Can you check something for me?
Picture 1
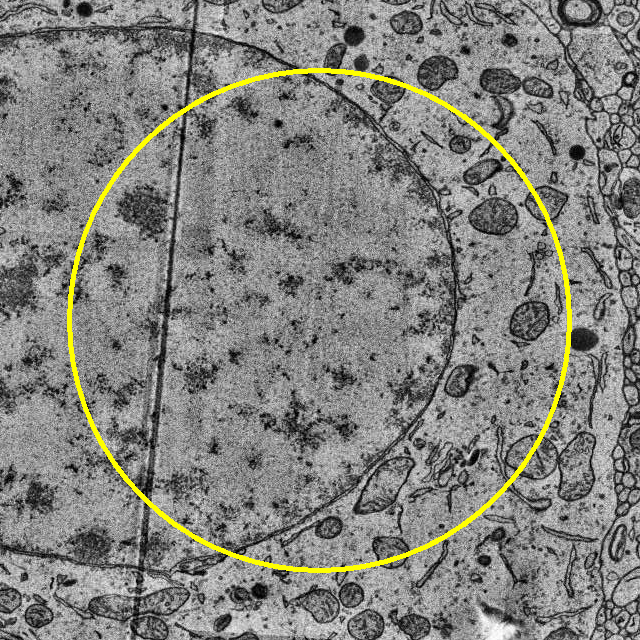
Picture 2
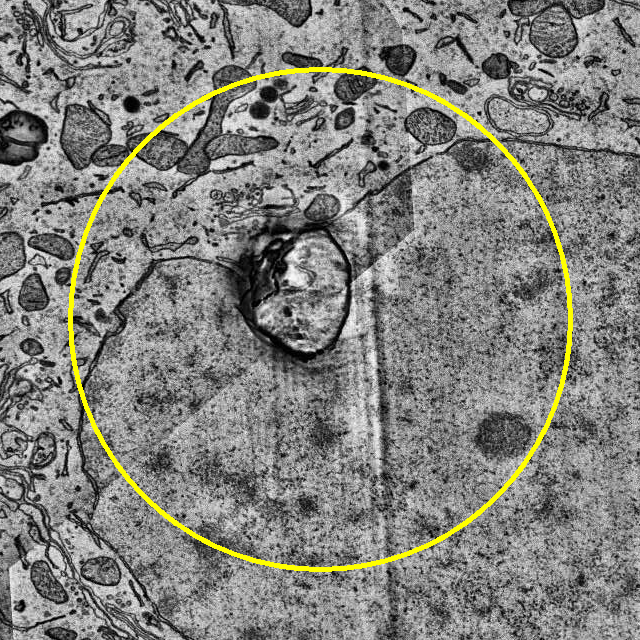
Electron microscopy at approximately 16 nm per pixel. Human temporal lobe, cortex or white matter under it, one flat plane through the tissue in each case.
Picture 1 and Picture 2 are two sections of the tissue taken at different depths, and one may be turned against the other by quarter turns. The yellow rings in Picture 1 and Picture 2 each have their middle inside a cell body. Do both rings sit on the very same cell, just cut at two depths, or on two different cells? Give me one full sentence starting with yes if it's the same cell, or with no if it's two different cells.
No, each of the two rings holds a different cell.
